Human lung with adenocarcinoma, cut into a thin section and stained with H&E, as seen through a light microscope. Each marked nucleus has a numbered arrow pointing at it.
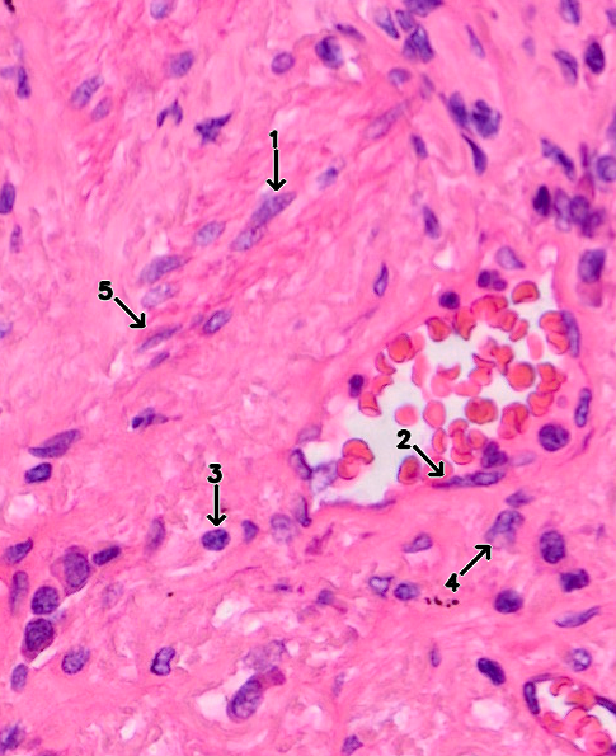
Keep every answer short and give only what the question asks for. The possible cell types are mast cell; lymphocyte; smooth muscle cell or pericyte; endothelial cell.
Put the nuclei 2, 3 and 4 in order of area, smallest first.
2, 3, 4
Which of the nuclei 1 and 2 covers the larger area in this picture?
1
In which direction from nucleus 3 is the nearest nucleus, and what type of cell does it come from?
a mast cell, to the right of nucleus 3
